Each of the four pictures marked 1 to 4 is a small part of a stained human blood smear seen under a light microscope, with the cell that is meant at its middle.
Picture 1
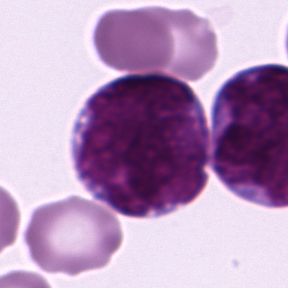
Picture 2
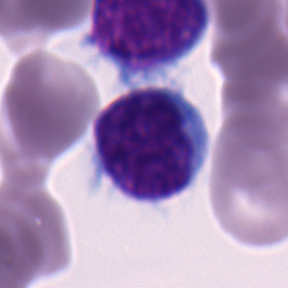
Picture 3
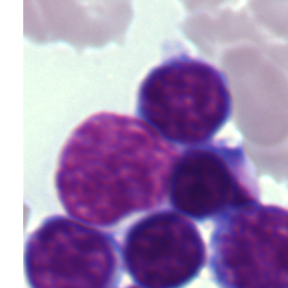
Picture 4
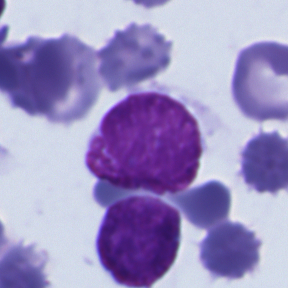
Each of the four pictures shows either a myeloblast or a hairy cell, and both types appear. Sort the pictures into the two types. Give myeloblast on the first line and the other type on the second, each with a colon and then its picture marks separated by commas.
myeloblast: 1, 3, 4
hairy cell: 2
